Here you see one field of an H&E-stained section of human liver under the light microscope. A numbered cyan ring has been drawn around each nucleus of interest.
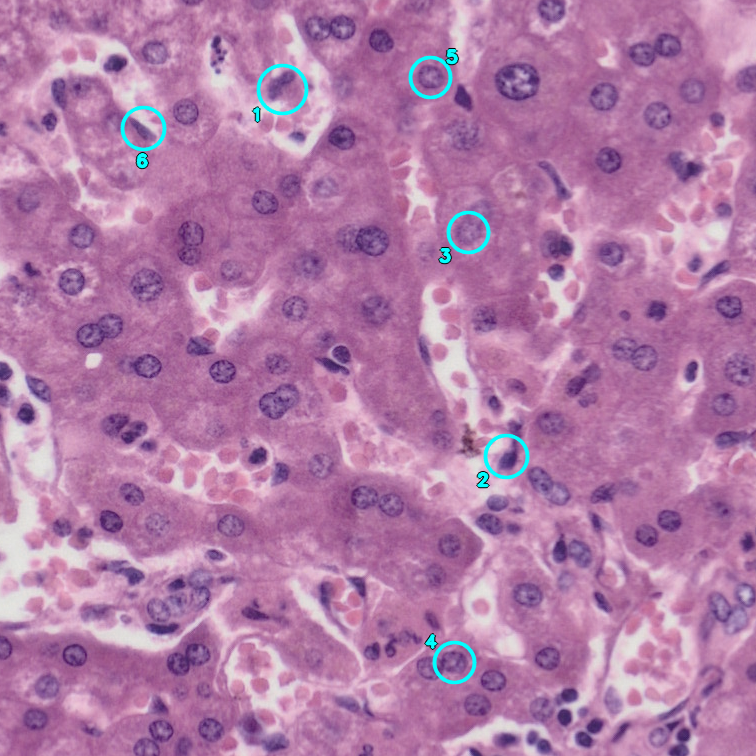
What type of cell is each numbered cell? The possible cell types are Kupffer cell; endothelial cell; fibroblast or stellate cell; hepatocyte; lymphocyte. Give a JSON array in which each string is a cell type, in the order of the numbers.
["Kupffer cell", "fibroblast or stellate cell", "hepatocyte", "hepatocyte", "hepatocyte", "endothelial cell"]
